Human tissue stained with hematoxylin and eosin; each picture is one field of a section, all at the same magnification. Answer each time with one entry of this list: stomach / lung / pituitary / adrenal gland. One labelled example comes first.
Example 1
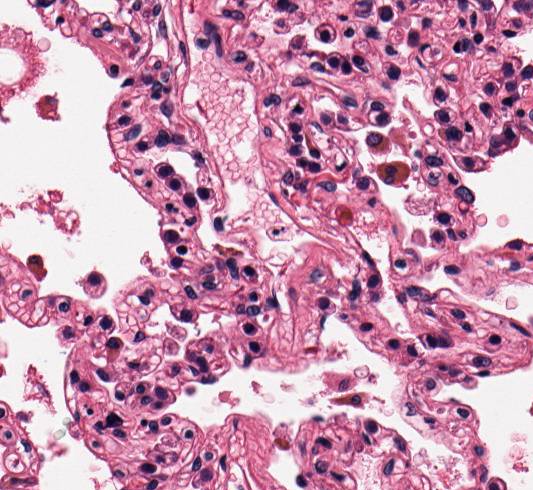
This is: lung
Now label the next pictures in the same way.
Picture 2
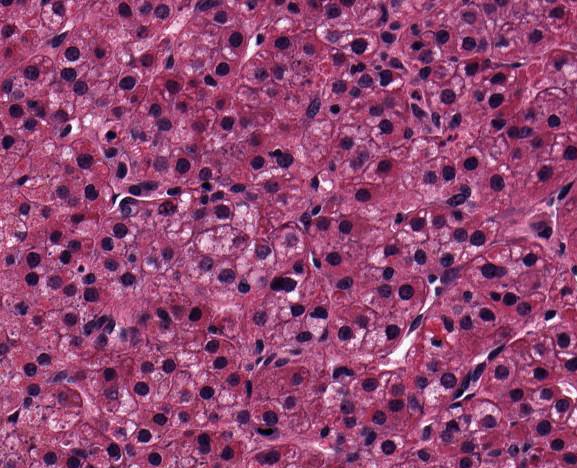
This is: adrenal gland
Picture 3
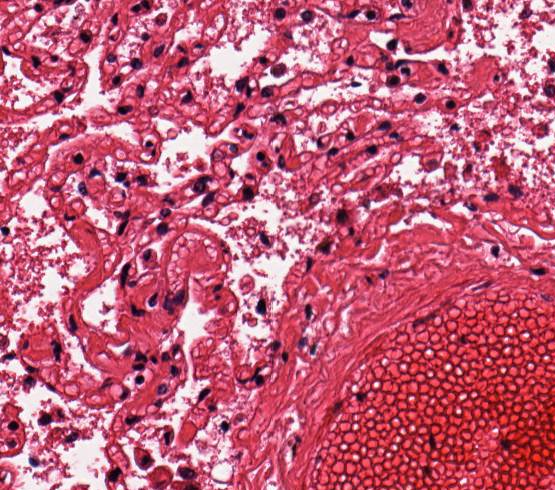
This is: lung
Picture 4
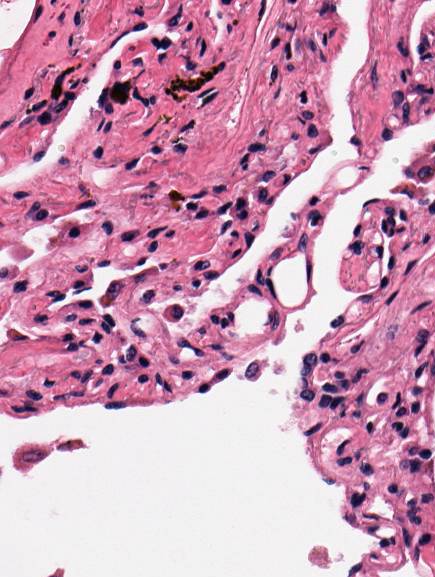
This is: lung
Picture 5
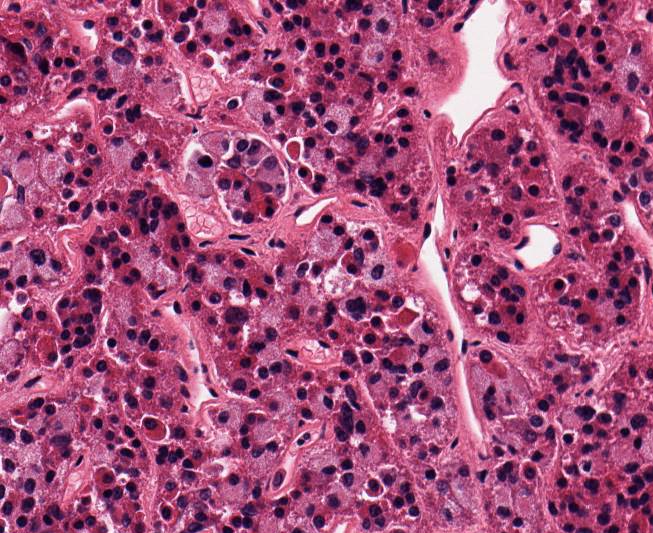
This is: pituitary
